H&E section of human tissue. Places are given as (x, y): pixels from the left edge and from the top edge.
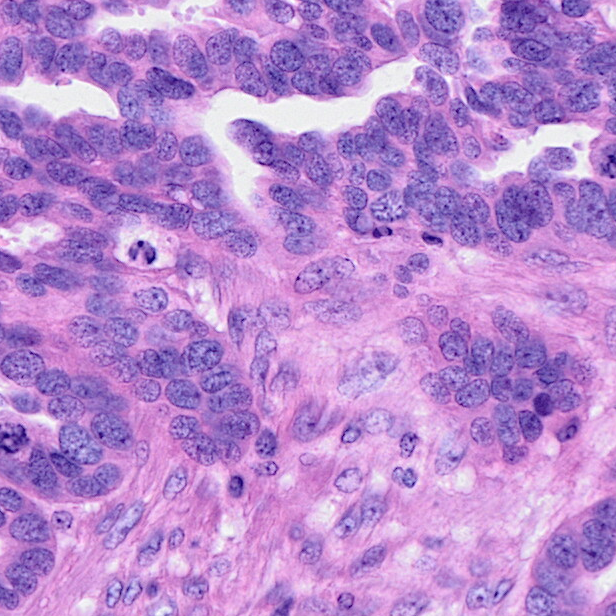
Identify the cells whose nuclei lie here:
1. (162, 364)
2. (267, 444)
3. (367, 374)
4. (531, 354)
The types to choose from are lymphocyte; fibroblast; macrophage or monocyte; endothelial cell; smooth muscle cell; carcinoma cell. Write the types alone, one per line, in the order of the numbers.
carcinoma cell
macrophage or monocyte
fibroblast
carcinoma cell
